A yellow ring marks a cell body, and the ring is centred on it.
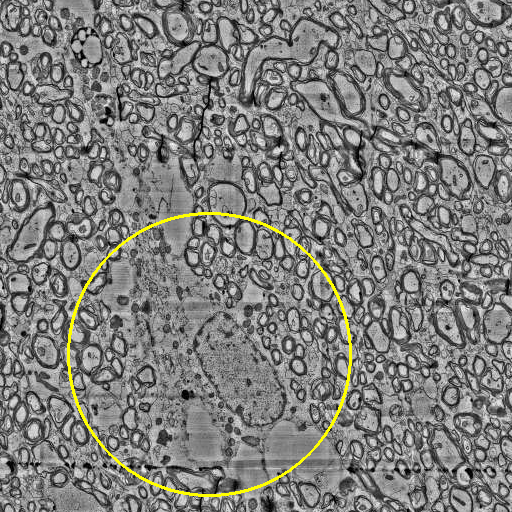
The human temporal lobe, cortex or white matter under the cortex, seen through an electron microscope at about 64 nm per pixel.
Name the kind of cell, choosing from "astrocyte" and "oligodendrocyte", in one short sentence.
The marked cell body belongs to an astrocyte.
